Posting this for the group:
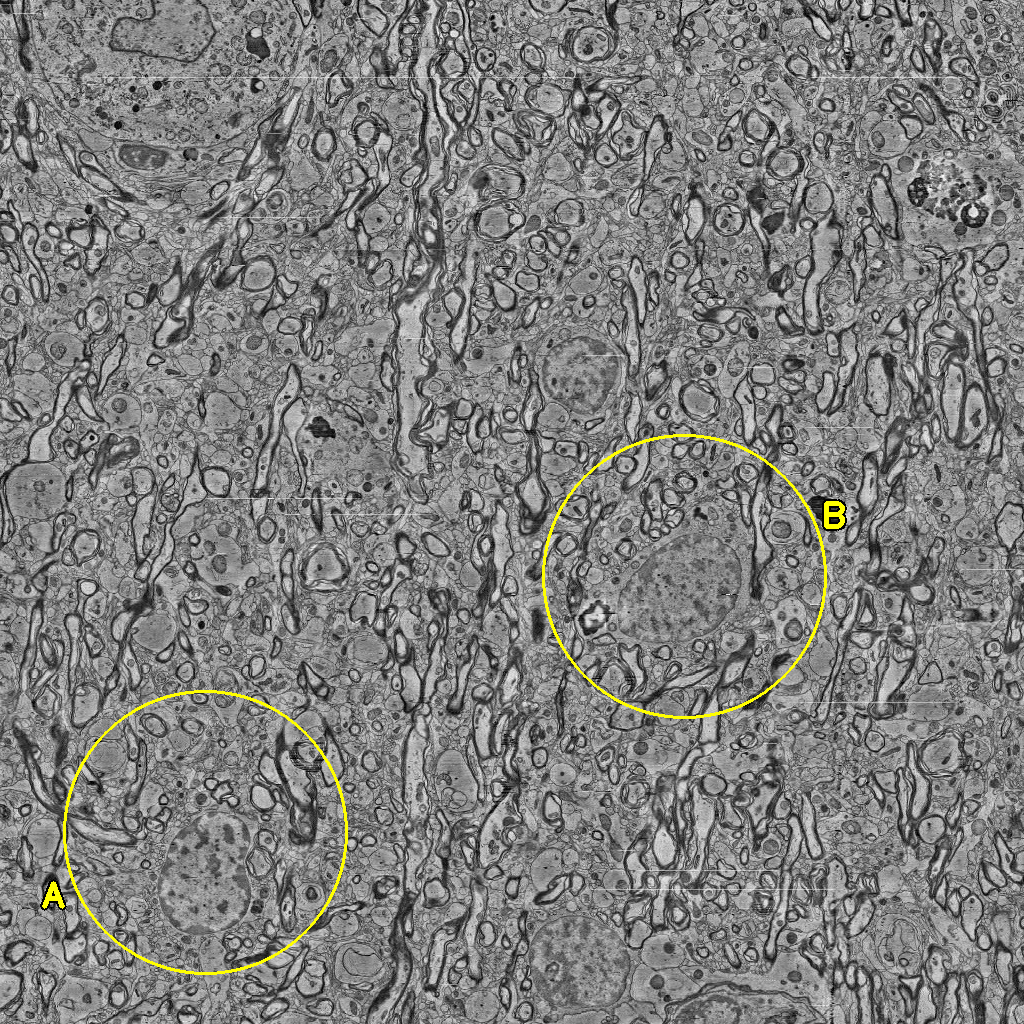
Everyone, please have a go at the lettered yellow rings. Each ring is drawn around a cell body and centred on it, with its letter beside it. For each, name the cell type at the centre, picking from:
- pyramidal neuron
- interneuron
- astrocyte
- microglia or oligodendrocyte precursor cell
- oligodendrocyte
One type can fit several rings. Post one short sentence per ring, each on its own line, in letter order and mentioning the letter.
My call for ring A is a microglial cell or oligodendrocyte precursor cell.
My call for ring B is an oligodendrocyte.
